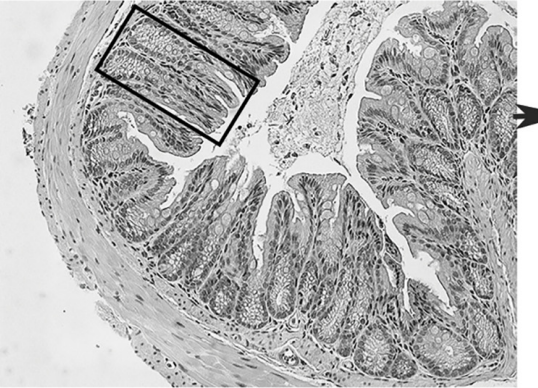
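This is a section of colon wall showing the mucosa, with tubular crypts arranged in parallel and running from the muscle layer toward the lumen. The crypts are lined by columnar epithelial cells whose dark, elongated nuclei sit toward the base. Goblet cells with pale mucous vacuoles are scattered along the crypts. Lamina propria with small dark nuclei lies between the crypts. A thick smooth muscle band encircles the outer edge, and the folded mucosa projects into a branching lumen that contains some loose material.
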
